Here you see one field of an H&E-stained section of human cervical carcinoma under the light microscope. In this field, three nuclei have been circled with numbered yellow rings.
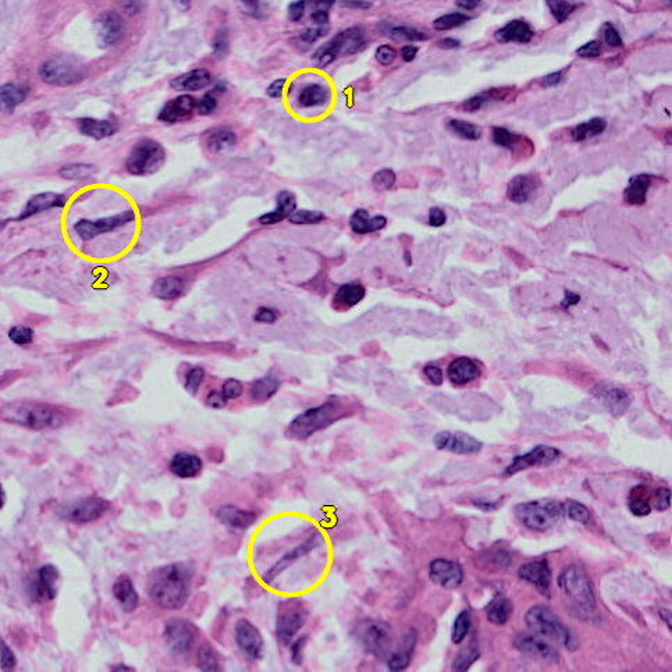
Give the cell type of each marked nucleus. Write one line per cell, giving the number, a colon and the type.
1: lymphocyte
2: fibroblast
3: fibroblast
